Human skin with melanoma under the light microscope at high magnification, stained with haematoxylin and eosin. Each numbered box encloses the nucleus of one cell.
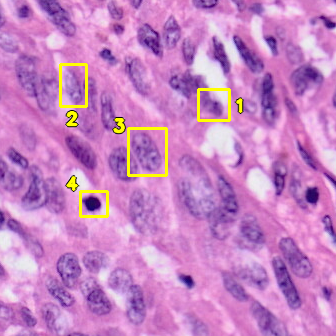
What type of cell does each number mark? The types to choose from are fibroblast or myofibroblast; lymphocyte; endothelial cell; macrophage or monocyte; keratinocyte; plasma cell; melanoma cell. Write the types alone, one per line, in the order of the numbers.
melanoma cell
melanoma cell
melanoma cell
lymphocyte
